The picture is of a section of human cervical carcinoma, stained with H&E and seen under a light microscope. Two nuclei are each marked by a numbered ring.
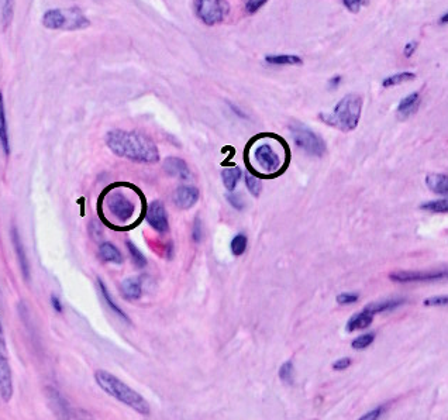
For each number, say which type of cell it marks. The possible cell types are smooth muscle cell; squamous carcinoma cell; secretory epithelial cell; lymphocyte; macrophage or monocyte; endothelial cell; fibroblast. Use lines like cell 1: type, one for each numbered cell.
cell 1: endothelial cell
cell 2: lymphocyte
